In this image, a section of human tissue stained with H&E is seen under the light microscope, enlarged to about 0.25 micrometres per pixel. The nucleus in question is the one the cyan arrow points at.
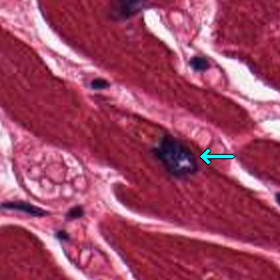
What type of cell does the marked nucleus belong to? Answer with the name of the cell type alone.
cardiomyocyte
